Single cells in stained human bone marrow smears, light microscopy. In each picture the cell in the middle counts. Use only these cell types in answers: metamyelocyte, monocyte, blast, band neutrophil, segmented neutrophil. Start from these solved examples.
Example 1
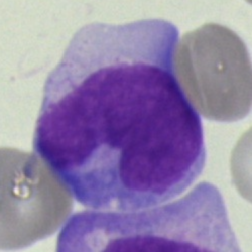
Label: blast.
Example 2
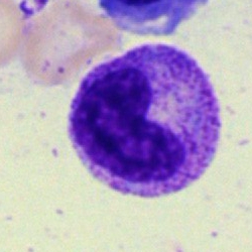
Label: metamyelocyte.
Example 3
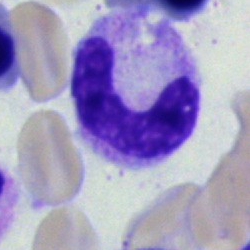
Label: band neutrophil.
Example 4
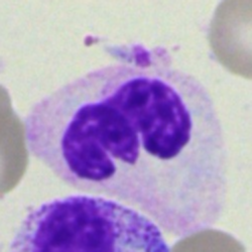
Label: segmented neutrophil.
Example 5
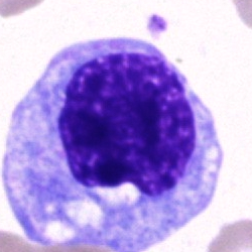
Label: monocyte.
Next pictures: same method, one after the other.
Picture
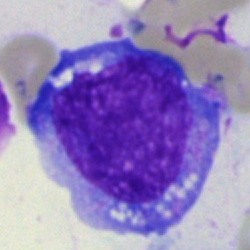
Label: blast.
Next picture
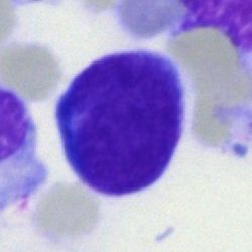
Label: blast.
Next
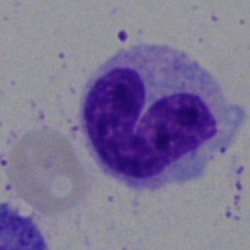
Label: band neutrophil.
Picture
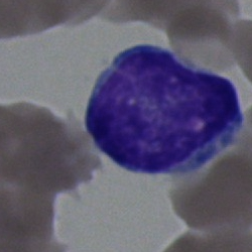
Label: blast.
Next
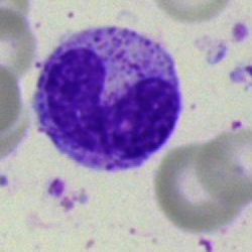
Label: band neutrophil.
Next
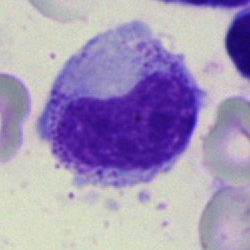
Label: metamyelocyte.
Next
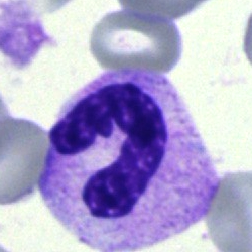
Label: segmented neutrophil.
